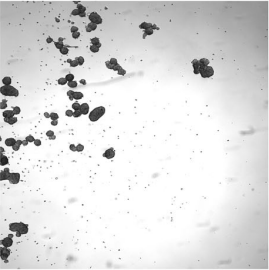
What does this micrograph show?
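Some clusters lie close together or touch, while tiny dark specks that are much smaller than the spheres are spread between them. Individual cells within the spheres cannot be resolved at this magnification.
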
